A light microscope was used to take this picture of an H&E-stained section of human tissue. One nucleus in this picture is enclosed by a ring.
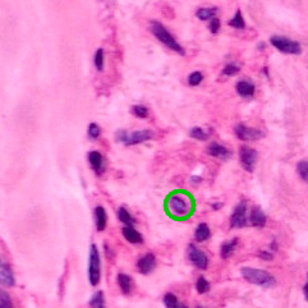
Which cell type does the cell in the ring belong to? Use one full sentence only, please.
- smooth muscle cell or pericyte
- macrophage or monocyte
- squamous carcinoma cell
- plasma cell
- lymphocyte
Right, so the cell in the ring is a smooth muscle cell or pericyte, to answer that.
